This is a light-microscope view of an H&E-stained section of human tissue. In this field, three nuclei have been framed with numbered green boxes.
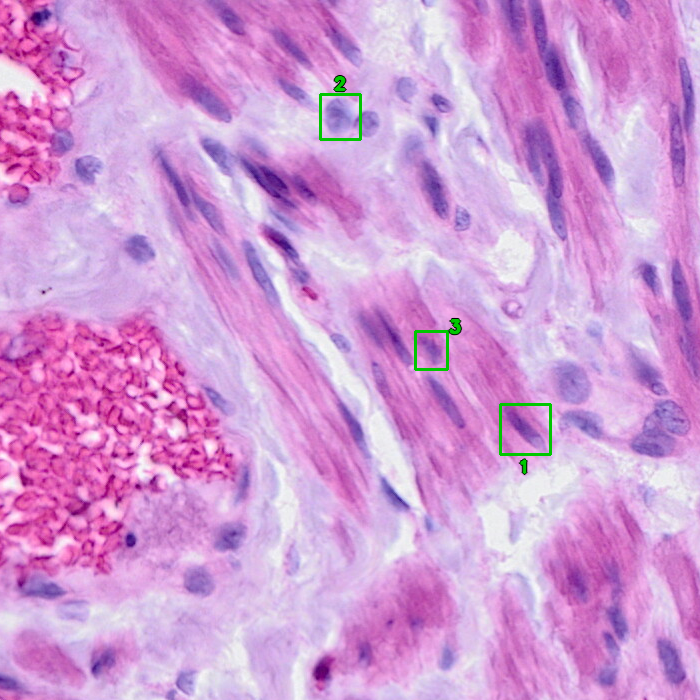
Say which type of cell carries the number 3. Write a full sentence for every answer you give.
That cell with number 3 is a smooth muscle cell.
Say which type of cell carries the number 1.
In this section, the cell numbered 1 is a smooth muscle cell.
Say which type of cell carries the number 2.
The cell pointed out as number 2 is a fibroblast.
